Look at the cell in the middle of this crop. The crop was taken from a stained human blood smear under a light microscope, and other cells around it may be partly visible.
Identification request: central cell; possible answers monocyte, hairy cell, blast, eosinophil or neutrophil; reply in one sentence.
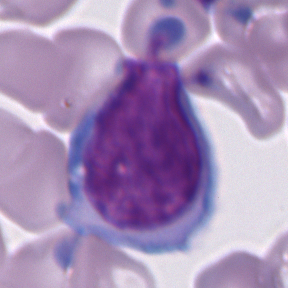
In the central position of this crop, the cell is a blast.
